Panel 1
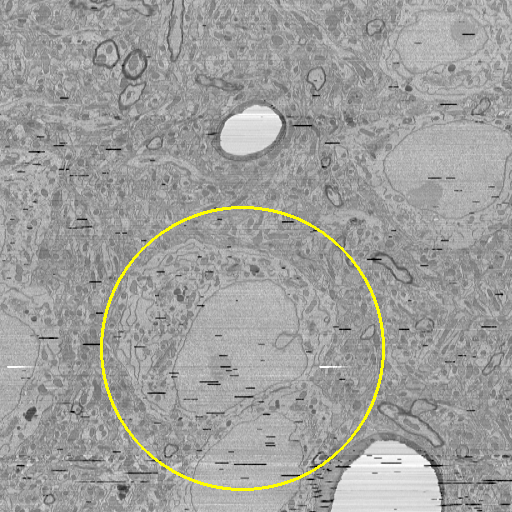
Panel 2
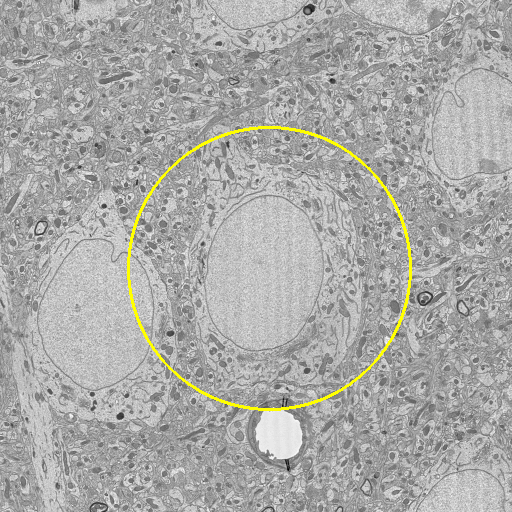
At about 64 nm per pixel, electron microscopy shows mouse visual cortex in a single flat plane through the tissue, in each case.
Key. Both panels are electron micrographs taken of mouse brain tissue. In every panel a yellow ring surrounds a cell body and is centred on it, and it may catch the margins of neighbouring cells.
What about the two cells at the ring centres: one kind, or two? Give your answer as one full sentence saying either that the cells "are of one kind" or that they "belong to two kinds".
Across Panels 1 and 2, the two cells at the ring centres belong to two kinds.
